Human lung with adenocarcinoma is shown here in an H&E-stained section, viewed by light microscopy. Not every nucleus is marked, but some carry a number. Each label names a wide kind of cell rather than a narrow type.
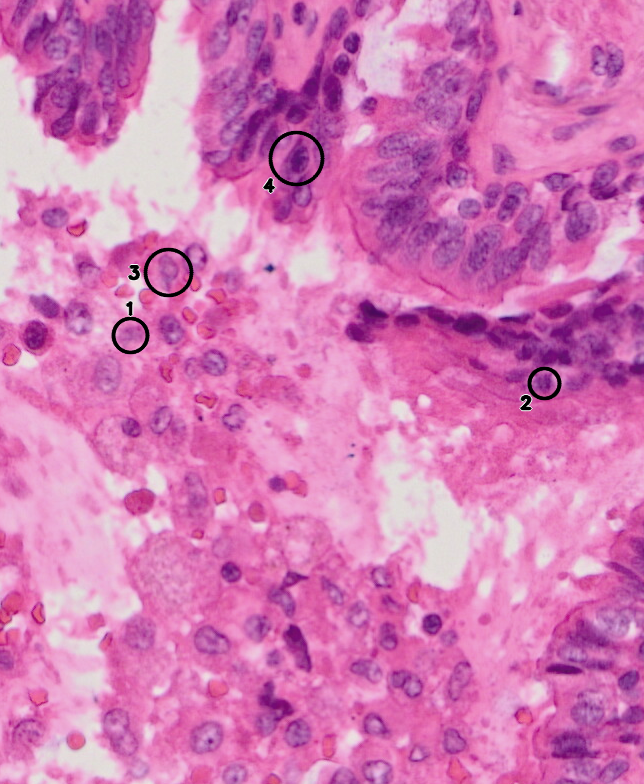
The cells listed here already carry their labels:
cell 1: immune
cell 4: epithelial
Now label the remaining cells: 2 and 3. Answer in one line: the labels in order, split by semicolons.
epithelial; immune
